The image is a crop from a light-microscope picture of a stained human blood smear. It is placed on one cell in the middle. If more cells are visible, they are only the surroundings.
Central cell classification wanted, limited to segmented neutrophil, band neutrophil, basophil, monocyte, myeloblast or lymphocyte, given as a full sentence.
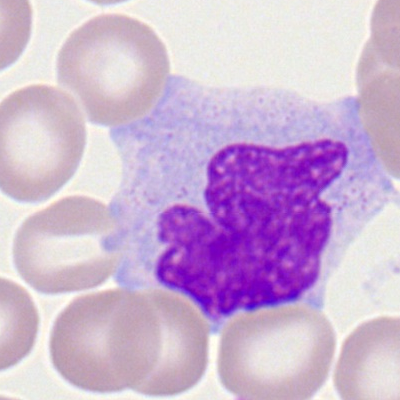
Present in the middle of the crop is a monocyte.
